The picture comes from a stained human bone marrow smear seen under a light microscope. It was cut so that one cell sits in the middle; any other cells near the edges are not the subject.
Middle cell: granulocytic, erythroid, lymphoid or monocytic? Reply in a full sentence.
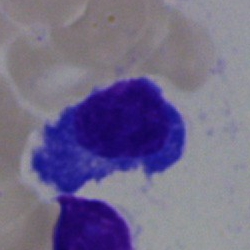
With respect to lineage, the middle cell falls within the lymphoid lineage.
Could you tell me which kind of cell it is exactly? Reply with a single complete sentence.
The cell at the heart of this crop is a plasma cell.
